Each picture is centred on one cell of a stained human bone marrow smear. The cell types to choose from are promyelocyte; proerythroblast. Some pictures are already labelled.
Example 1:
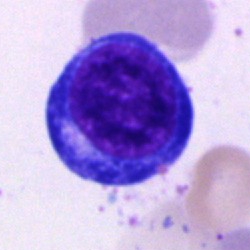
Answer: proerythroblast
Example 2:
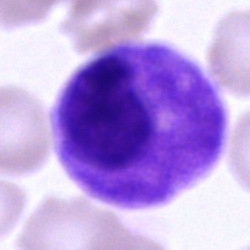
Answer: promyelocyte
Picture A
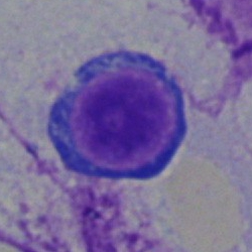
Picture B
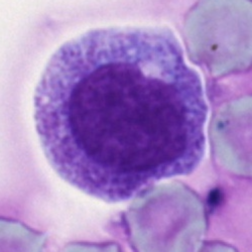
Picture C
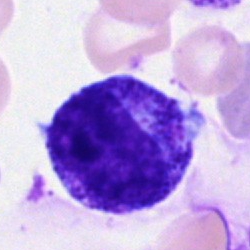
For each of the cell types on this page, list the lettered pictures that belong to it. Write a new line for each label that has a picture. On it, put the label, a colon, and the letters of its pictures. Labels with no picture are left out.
promyelocyte: B, C
proerythroblast: A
